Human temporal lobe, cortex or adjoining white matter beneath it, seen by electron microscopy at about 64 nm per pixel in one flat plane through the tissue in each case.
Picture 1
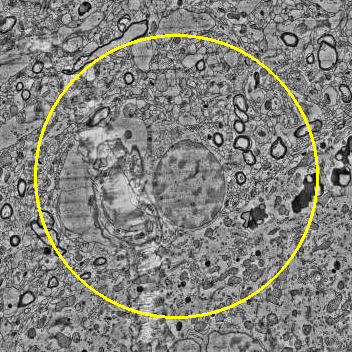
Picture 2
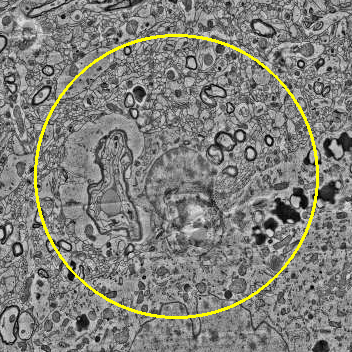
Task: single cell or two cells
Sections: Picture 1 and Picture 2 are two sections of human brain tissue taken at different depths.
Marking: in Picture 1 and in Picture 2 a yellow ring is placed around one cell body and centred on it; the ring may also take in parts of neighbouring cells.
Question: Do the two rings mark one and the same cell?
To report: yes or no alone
yes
